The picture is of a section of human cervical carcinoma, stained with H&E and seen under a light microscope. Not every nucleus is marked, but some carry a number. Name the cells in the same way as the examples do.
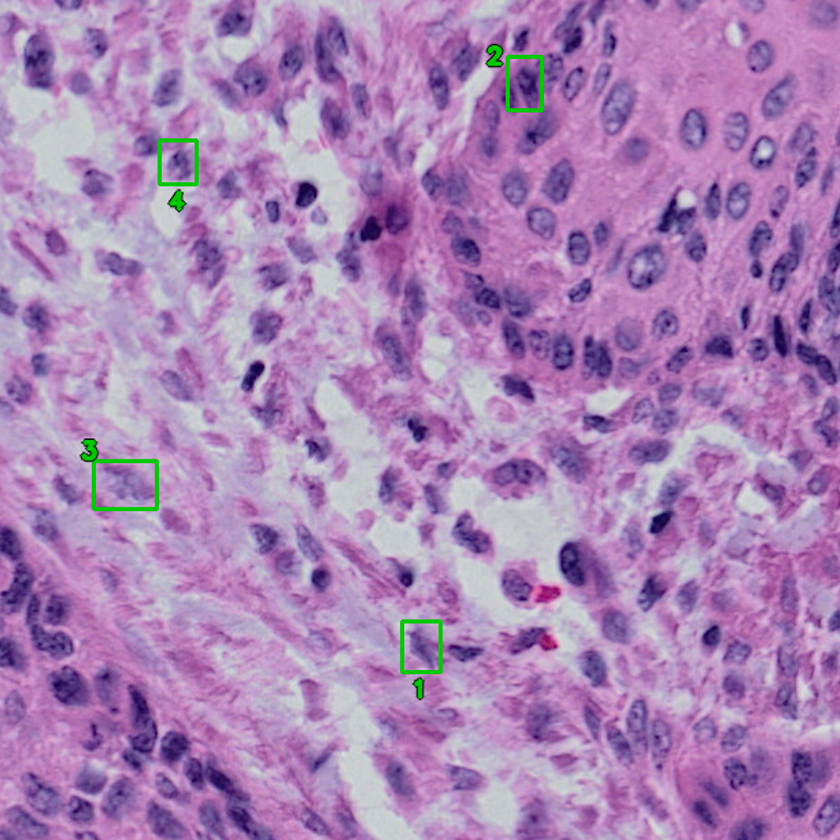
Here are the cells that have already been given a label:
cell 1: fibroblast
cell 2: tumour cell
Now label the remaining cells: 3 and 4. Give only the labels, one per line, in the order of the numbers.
fibroblast
fibroblast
